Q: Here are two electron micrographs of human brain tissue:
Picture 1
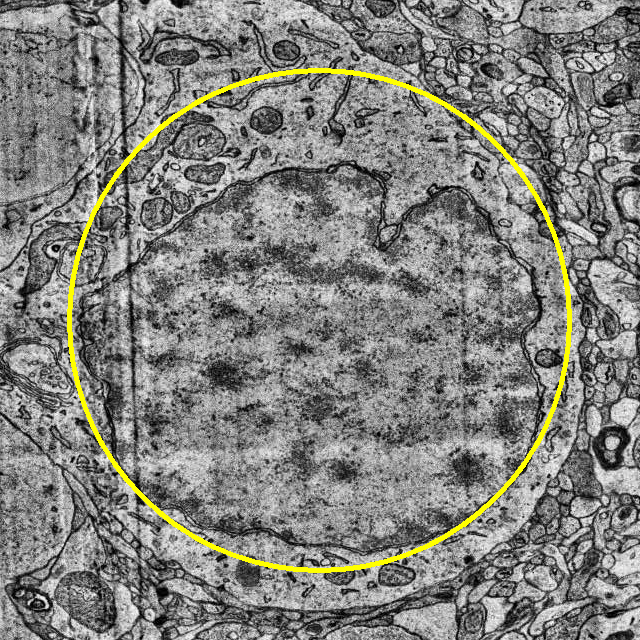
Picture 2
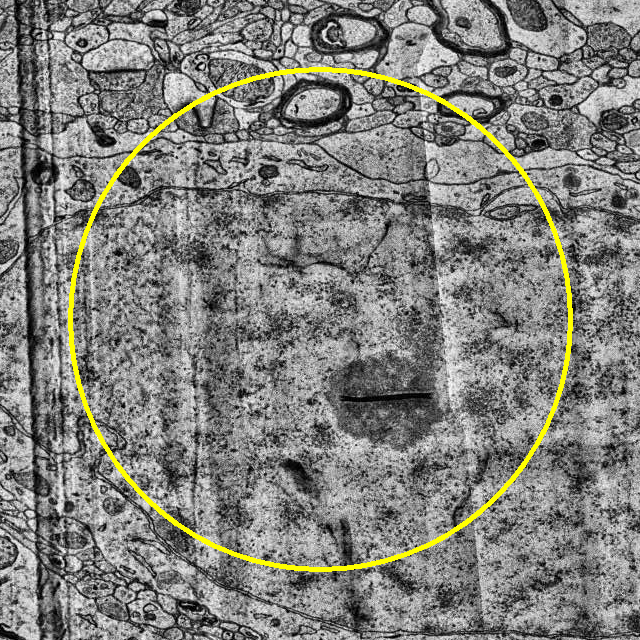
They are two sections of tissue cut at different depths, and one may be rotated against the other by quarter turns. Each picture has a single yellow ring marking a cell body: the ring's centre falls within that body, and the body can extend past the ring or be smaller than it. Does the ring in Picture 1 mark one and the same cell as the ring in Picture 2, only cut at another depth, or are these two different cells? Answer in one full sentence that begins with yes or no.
No, the two yellow rings correspond to two separate cells.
